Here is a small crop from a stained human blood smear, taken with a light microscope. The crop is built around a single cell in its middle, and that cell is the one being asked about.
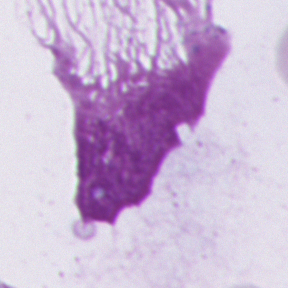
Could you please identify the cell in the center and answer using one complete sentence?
In this crop, the cell at the very middle is a smudge cell.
